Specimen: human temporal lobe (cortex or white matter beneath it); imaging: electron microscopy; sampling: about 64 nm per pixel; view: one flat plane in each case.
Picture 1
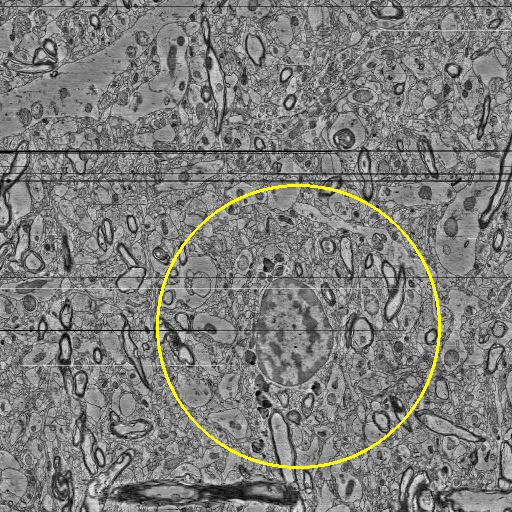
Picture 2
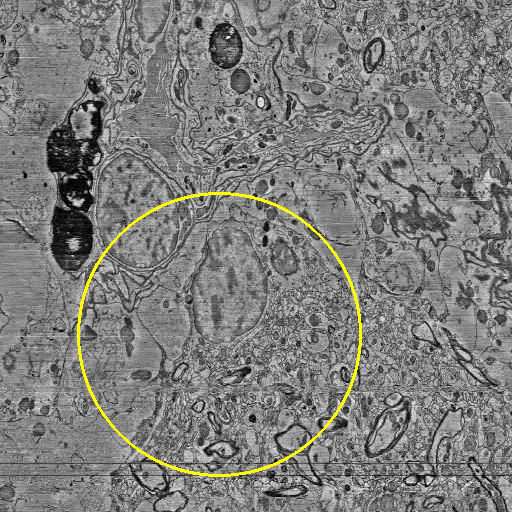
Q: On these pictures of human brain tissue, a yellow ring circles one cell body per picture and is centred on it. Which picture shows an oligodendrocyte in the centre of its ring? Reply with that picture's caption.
Picture 2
